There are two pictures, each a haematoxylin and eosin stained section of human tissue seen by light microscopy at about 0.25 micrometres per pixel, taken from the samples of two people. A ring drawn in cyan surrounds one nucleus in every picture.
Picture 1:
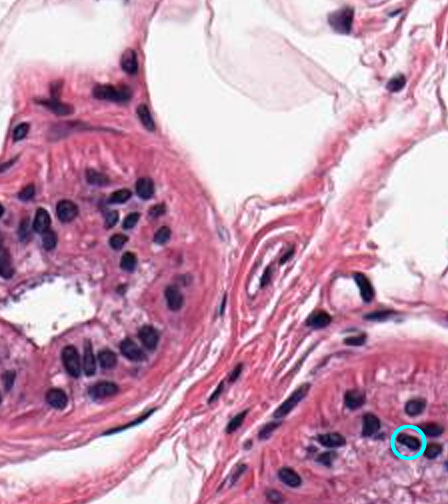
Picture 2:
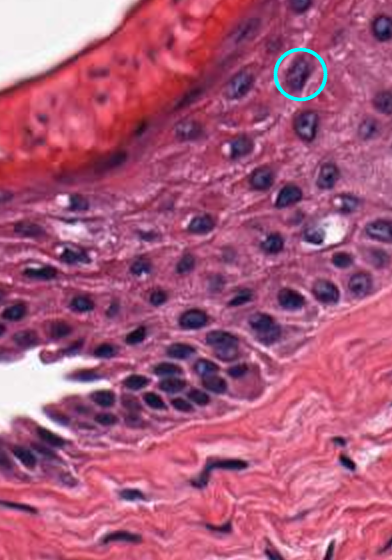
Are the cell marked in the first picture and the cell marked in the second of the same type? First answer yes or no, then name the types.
No, the first is a sweat gland cell and the second a keratinocyte.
